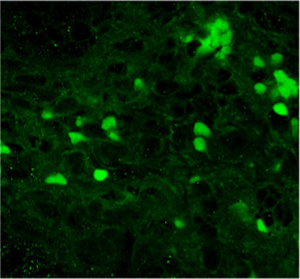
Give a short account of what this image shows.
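Small oval to spindle-shaped cells, strongly and evenly green, are scattered throughout the field, more densely than single isolated cells, some lying in small groups in the upper right where the green is brighter and more confluent. Between them a faint green background outlines the tissue, with dark rounded spaces between strands. The cells show no visible internal detail; they appear as compact bright bodies.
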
